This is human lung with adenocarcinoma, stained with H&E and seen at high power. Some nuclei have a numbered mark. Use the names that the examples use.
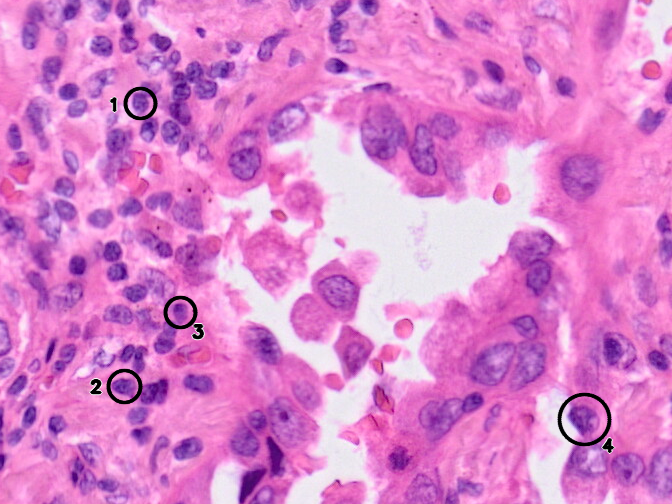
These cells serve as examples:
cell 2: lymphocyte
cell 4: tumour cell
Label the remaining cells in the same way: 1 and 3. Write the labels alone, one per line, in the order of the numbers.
lymphocyte
lymphocyte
